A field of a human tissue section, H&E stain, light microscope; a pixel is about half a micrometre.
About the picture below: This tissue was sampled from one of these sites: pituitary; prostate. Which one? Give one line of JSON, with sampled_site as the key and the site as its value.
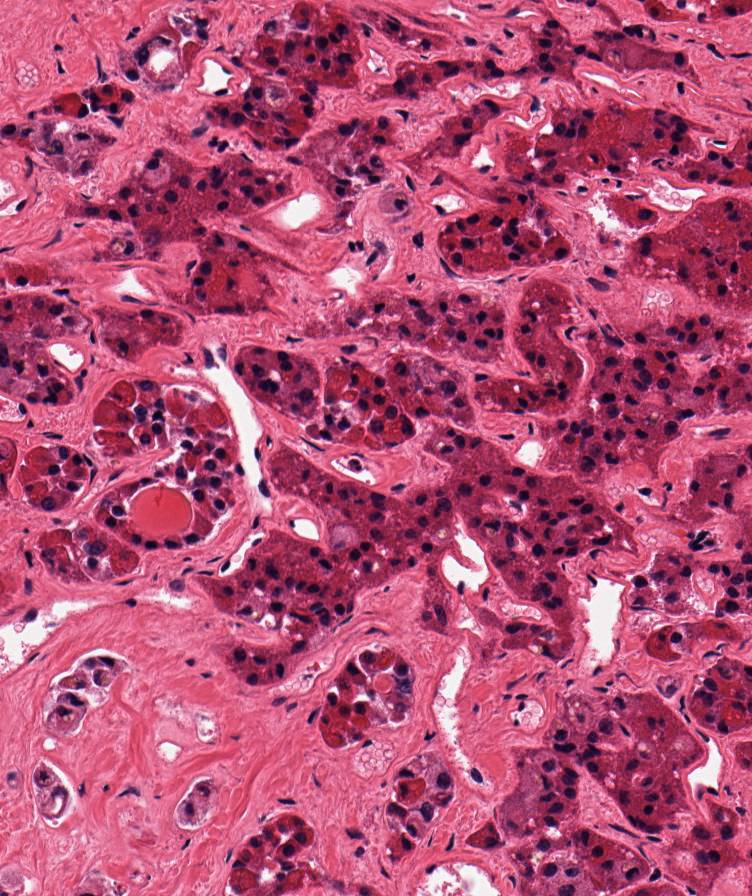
{"sampled_site": "pituitary"}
